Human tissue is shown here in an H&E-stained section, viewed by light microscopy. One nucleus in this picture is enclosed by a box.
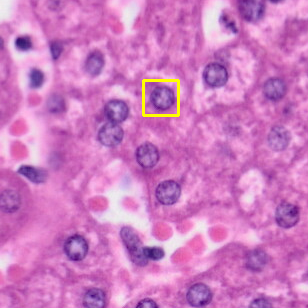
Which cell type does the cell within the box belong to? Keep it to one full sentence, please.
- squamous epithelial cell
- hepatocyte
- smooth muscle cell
Among the cells in this section, the cell within the box is a hepatocyte.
